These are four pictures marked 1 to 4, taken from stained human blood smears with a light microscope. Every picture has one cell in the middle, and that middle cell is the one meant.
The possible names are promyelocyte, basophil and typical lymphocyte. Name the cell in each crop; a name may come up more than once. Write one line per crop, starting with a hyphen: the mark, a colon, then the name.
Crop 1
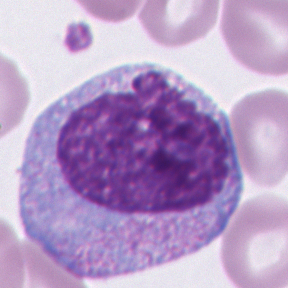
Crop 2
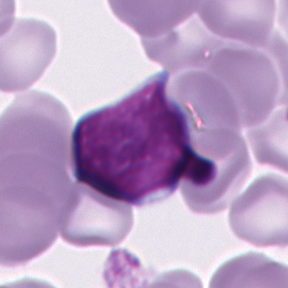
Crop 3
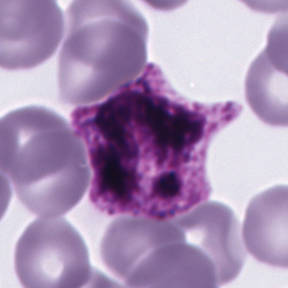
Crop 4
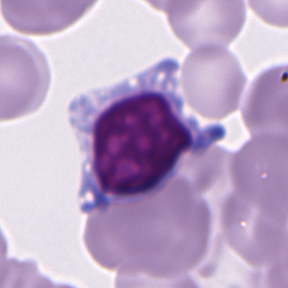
- 1: promyelocyte
- 2: typical lymphocyte
- 3: basophil
- 4: typical lymphocyte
